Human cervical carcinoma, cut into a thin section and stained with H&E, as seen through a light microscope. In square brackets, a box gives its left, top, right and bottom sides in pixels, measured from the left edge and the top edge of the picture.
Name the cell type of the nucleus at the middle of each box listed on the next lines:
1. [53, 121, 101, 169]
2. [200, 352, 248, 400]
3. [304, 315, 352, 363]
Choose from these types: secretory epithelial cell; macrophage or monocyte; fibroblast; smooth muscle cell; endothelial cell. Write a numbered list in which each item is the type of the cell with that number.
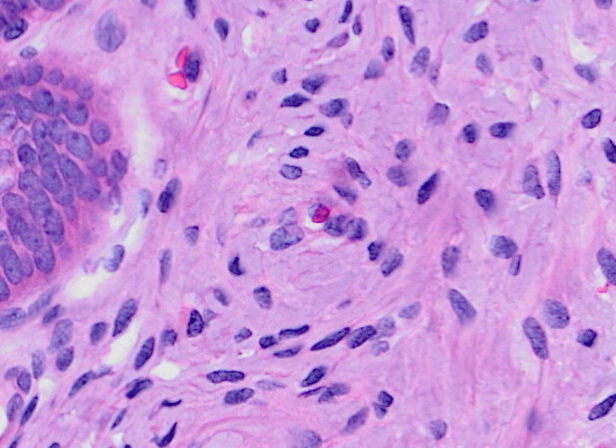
1. secretory epithelial cell
2. fibroblast
3. fibroblast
